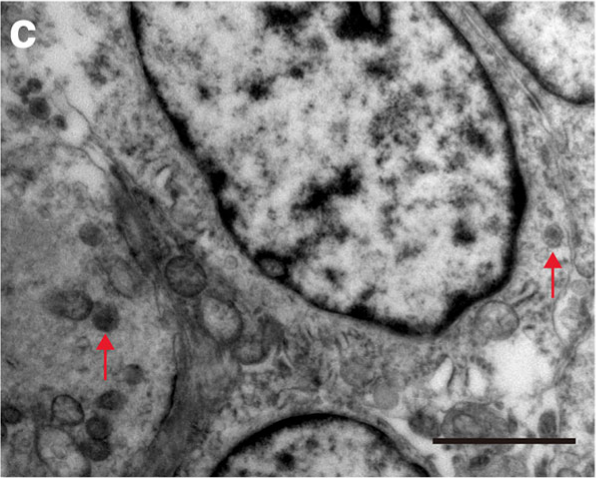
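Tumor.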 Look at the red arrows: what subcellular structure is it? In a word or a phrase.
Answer: Neurosecretory granules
